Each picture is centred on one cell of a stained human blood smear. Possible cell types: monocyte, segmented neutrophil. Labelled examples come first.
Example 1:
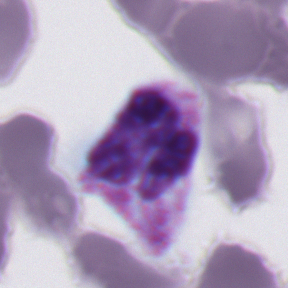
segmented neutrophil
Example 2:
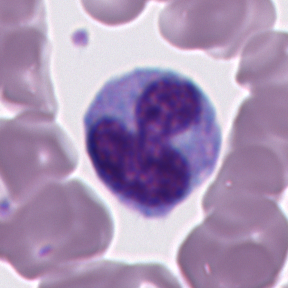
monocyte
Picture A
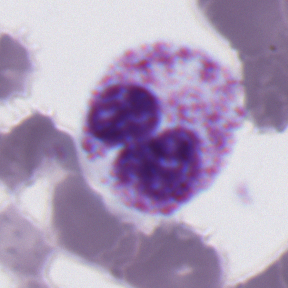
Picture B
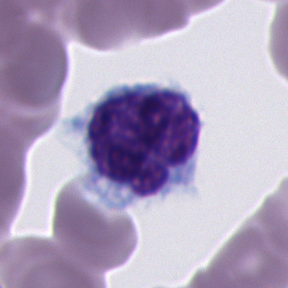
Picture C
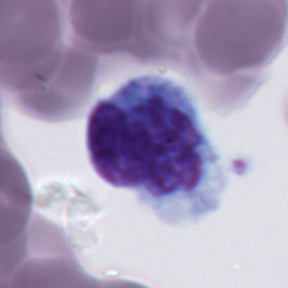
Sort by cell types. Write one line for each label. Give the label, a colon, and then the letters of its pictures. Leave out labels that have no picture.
monocyte: B, C
segmented neutrophil: A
